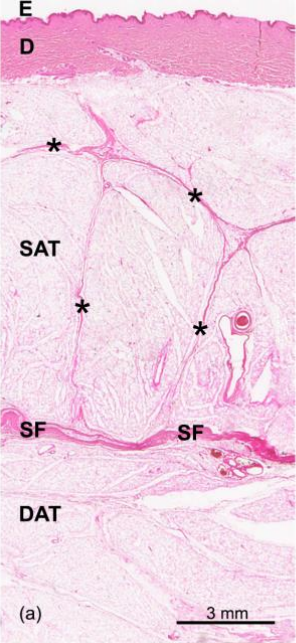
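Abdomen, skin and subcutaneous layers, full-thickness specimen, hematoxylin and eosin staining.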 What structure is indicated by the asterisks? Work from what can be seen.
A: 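The asterisks lie on thin pink strands running through the pale fatty layer. The strands divide the pale tissue into large compartments. The strands link the pink dermis above with the pink band below. The answer: fibrous septa of the retinacula cutis.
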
